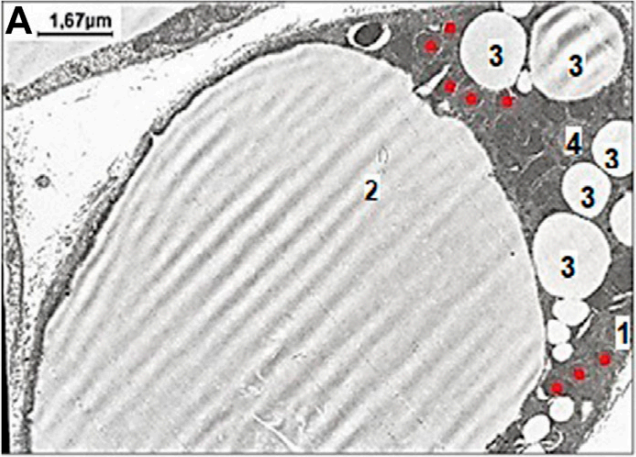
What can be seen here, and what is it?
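An adipocyte is seen with a large pale fat mass occupying most of the cell, showing a striated texture. A thin but locally widened rim of dark cytoplasm curves along one side of it. Within this rim lie numerous round pale lipid drops of varying size and scattered small rounded mitochondrial profiles. A thin cytoplasmic edge of a neighbouring cell runs along the top.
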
